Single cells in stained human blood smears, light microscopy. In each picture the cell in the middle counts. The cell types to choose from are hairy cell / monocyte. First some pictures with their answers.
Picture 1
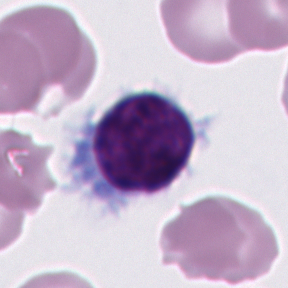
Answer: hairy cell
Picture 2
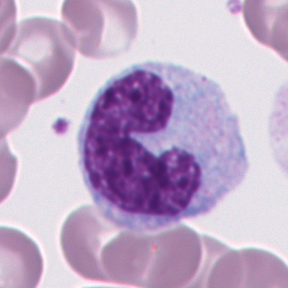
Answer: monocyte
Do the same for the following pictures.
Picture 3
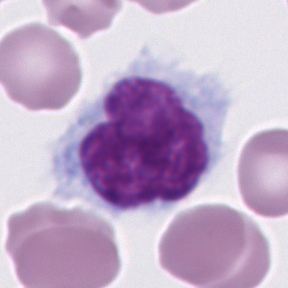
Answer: hairy cell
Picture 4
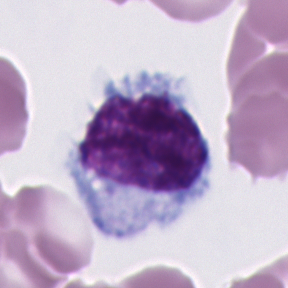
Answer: hairy cell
